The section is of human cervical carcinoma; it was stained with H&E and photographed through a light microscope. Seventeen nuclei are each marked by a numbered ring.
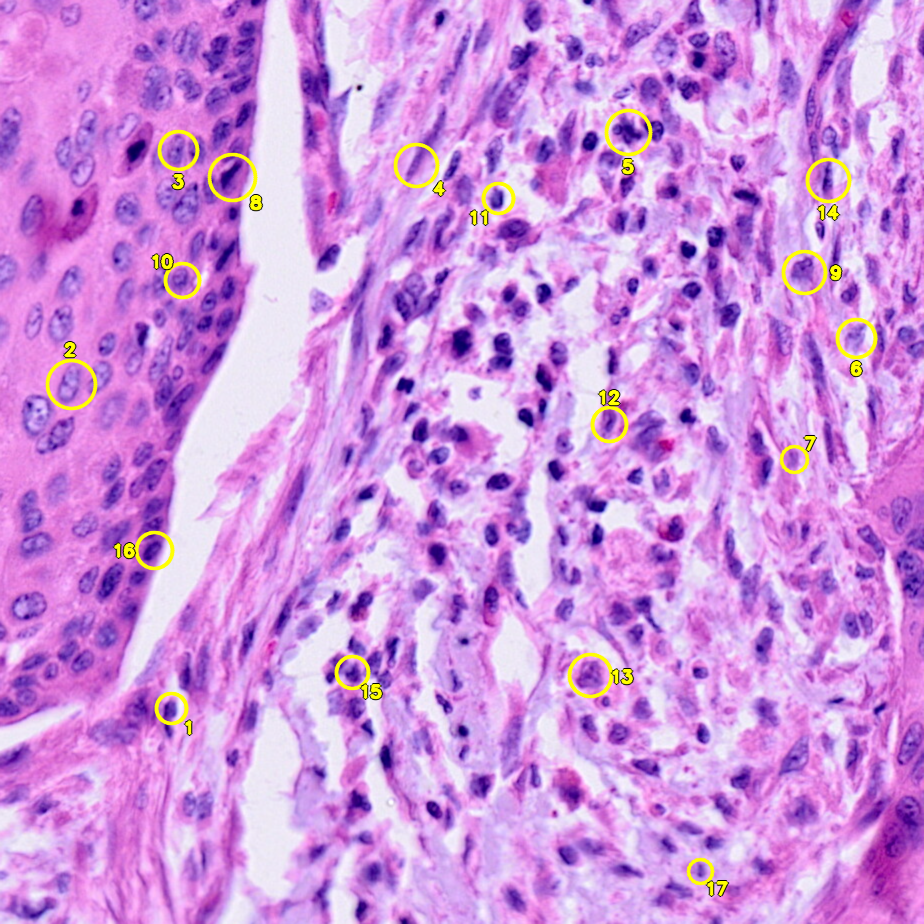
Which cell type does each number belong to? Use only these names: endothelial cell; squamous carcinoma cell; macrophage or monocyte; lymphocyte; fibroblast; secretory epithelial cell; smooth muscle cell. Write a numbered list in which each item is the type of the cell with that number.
1. lymphocyte
2. squamous carcinoma cell
3. squamous carcinoma cell
4. fibroblast
5. lymphocyte
6. fibroblast
7. fibroblast
8. squamous carcinoma cell
9. fibroblast
10. squamous carcinoma cell
11. lymphocyte
12. fibroblast
13. macrophage or monocyte
14. fibroblast
15. lymphocyte
16. squamous carcinoma cell
17. fibroblast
